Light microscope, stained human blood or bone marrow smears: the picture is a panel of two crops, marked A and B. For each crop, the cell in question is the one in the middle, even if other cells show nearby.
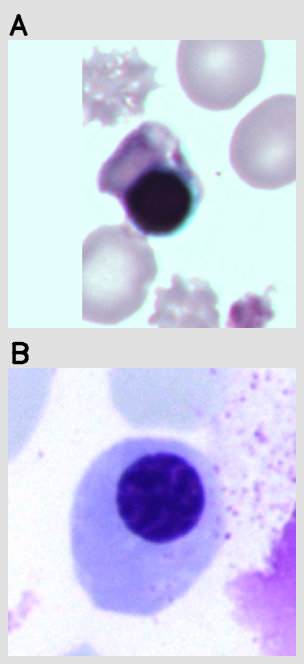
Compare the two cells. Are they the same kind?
yes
